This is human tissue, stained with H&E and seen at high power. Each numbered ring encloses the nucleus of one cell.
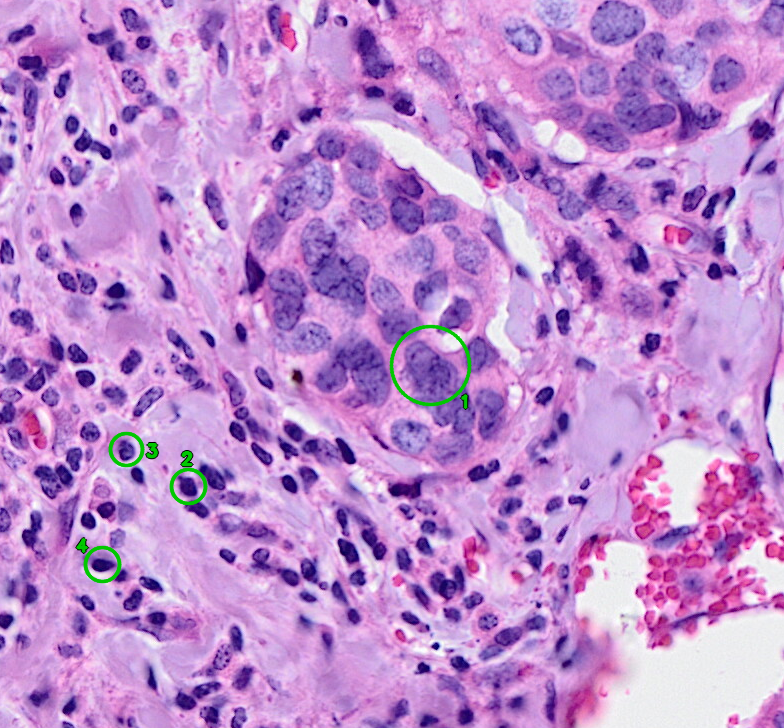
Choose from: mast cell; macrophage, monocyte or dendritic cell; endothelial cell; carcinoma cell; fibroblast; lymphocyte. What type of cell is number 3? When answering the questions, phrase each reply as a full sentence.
What the number 3 marks in this field is a lymphocyte.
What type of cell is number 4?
At number 4, the marked cell is a lymphocyte.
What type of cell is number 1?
Looking at the numbered marks, cell 1 is a carcinoma cell.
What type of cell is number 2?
Of the numbered cells, the one labelled 2 is a lymphocyte.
